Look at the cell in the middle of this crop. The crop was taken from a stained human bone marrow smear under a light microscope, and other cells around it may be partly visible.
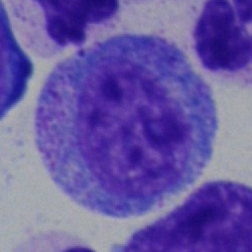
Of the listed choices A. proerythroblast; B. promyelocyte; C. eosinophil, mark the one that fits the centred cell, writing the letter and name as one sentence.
The right choice is option B: the cell in the middle is a promyelocyte.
